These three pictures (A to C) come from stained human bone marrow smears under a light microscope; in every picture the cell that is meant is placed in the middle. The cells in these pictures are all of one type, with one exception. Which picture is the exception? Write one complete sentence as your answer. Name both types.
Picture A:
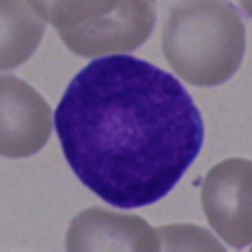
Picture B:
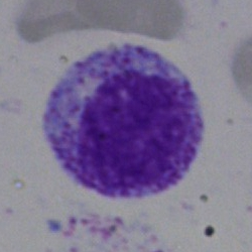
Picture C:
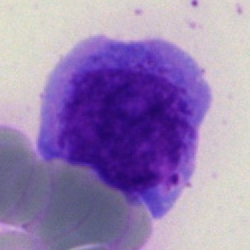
The others show blasts, but picture B shows a myelocyte.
